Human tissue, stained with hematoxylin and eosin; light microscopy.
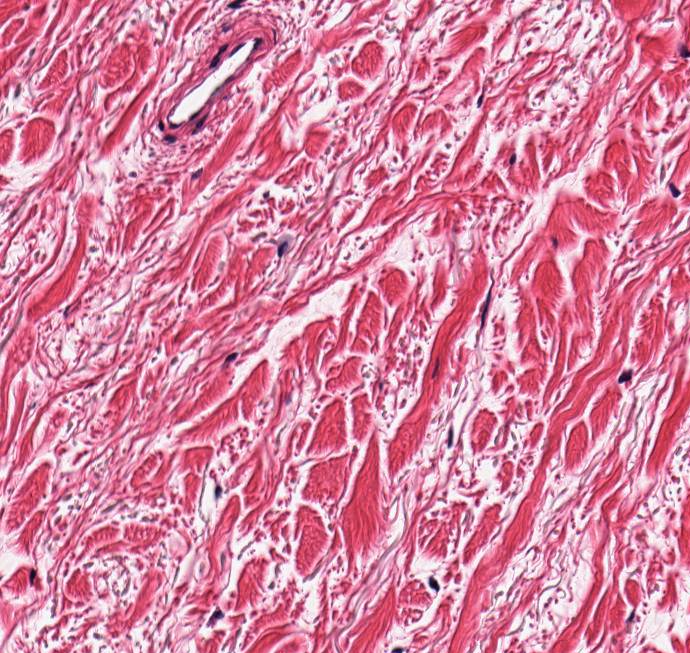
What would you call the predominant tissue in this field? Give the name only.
dermis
